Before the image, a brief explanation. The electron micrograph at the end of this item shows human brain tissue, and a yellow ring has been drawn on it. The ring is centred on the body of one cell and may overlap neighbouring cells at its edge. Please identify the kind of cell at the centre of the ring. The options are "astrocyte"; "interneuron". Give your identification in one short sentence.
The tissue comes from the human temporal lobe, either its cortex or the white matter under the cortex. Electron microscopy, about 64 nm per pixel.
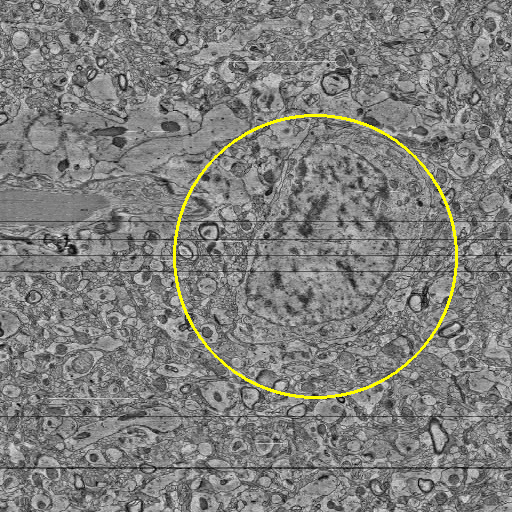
The ring has been placed around an interneuron.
